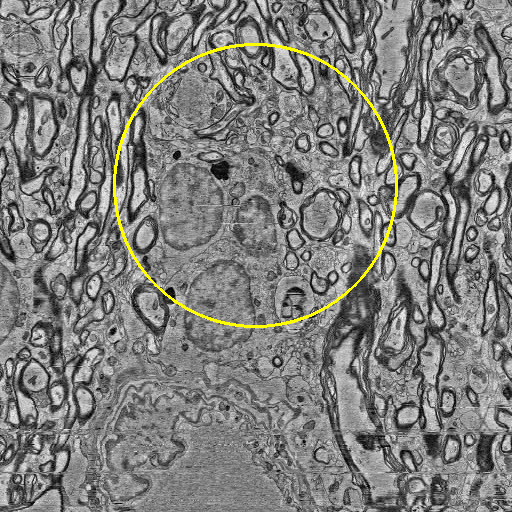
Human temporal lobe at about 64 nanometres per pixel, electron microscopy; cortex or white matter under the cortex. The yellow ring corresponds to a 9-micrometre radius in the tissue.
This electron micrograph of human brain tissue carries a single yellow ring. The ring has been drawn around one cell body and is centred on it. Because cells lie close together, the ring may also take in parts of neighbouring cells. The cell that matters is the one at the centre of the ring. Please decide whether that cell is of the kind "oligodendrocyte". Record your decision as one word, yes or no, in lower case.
yes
